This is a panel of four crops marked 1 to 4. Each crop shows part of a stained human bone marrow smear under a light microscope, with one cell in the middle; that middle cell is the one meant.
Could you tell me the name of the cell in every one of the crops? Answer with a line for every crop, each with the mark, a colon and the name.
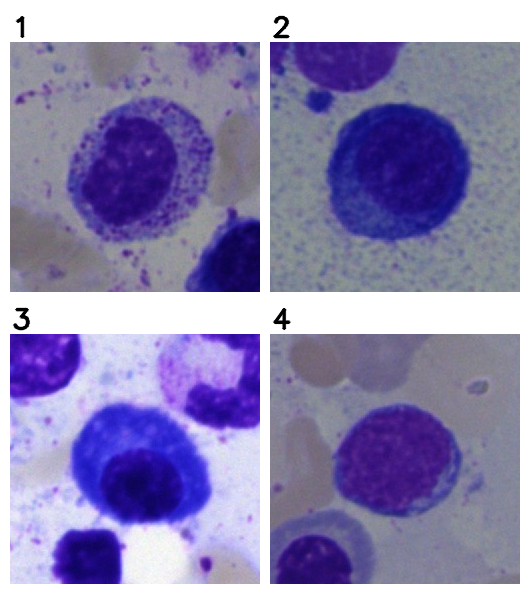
1: myelocyte
2: plasma cell
3: plasma cell
4: lymphocyte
